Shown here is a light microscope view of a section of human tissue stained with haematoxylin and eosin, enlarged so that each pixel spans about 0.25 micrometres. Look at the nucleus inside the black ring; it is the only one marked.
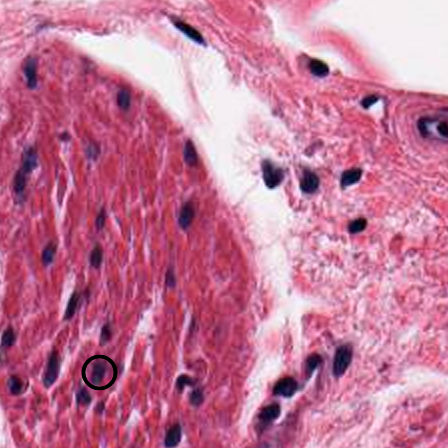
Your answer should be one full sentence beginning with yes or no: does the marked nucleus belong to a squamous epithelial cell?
No, the marked nucleus is not held within a squamous epithelial cell.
